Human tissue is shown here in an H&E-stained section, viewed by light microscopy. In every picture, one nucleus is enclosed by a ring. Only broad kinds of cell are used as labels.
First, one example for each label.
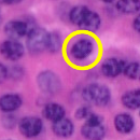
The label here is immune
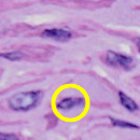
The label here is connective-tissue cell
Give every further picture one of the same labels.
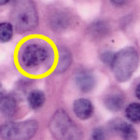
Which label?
immune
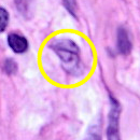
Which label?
connective-tissue cell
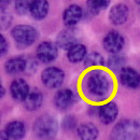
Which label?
immune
